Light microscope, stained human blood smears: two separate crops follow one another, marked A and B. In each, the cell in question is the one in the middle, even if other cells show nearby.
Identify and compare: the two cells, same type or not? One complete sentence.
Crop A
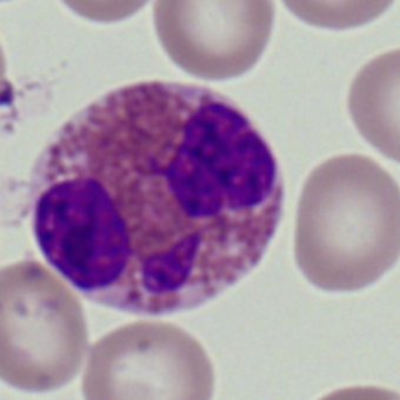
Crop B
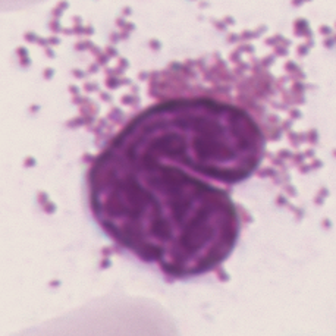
Yes, in short, both crops show eosinophils.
